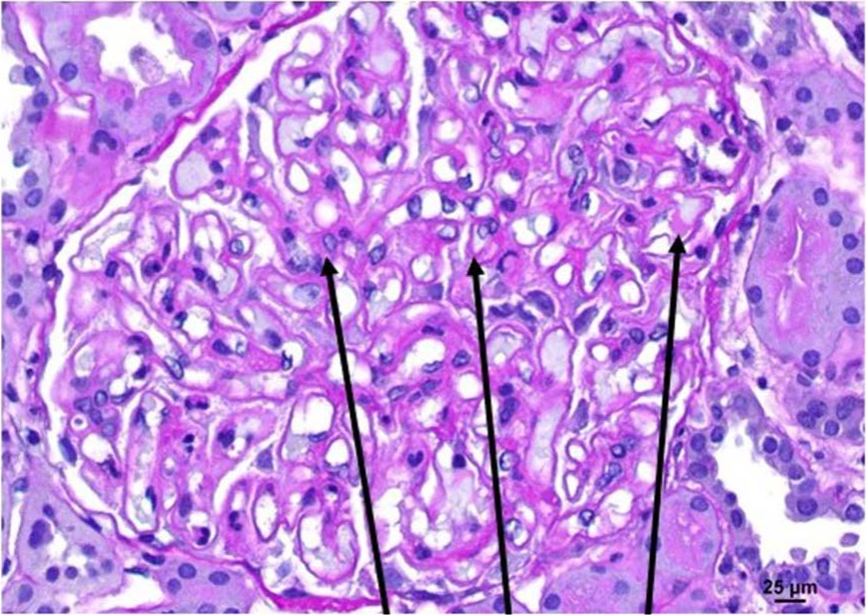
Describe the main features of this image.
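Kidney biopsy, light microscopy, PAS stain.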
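A single large, lobulated glomerular tuft fills the field, enclosed by a thin magenta capsule and surrounded by tubules lined with cuboidal epithelium that has round, dark nuclei. Within the tuft, many capillary loops are still open and appear as white spaces. Their walls are traced by thick, bright magenta membranes, and this thickening runs through loops across the whole tuft. Between the loops, the stalk regions are widened by pink matrix and hold clusters of dark nuclei. This pattern fits diffusely thickened glomerular capillary walls together with mesangial expansion.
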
